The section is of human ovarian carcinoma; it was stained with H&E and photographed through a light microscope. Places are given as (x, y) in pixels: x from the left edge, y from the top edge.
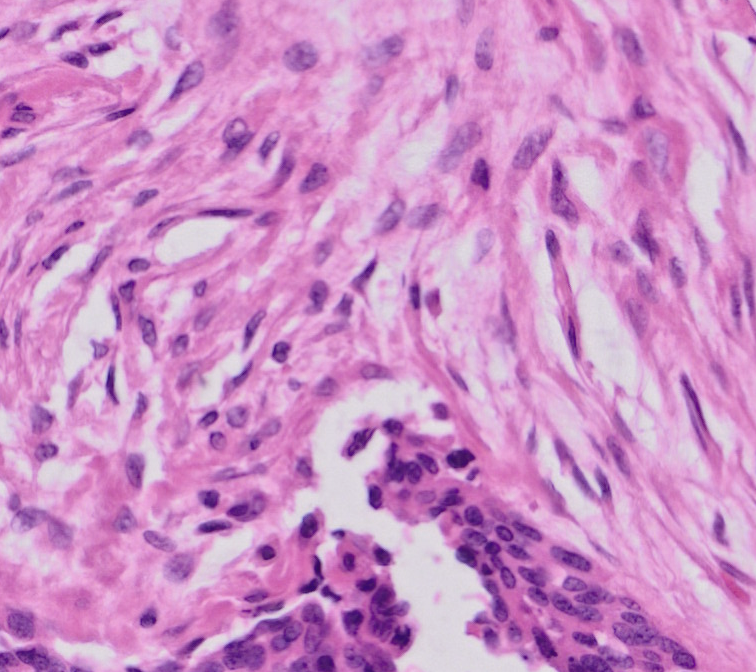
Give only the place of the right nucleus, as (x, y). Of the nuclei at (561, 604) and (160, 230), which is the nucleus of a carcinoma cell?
(561, 604)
